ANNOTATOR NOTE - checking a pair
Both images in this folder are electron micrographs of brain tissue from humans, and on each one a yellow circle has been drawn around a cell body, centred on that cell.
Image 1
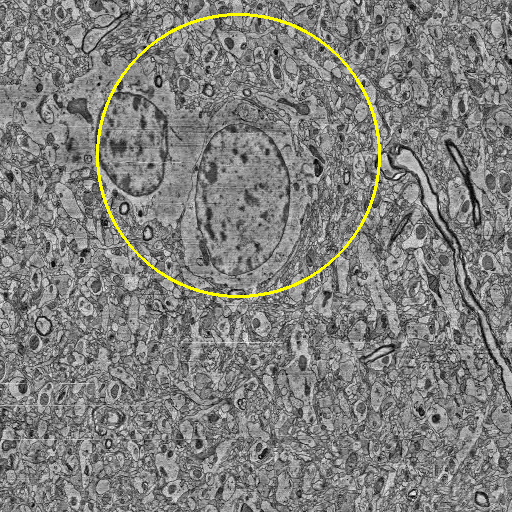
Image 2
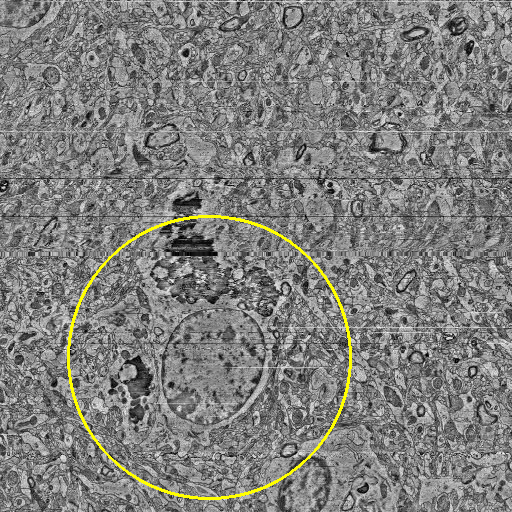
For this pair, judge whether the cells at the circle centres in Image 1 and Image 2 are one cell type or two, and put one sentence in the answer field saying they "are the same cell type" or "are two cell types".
For this pair, the cells at the circle centres in Images 1 and 2 are the same cell type.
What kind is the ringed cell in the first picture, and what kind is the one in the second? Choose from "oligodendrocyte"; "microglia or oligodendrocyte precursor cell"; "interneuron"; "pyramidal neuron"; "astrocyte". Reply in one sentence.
Each of the two cells is an astrocyte.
